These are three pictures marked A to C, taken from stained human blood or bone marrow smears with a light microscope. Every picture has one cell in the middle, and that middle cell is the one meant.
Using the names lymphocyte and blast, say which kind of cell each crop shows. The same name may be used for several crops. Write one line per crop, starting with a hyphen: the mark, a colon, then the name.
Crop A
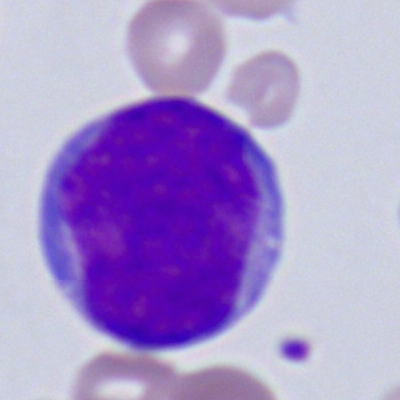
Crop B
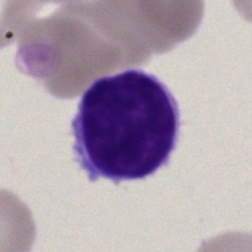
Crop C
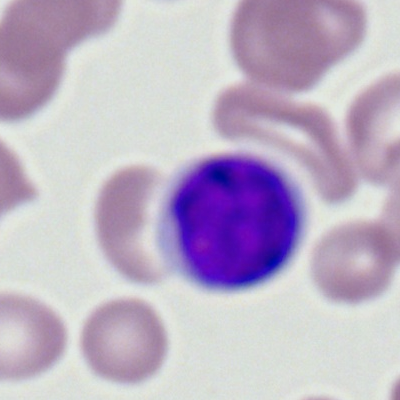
- A: blast
- B: lymphocyte
- C: lymphocyte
